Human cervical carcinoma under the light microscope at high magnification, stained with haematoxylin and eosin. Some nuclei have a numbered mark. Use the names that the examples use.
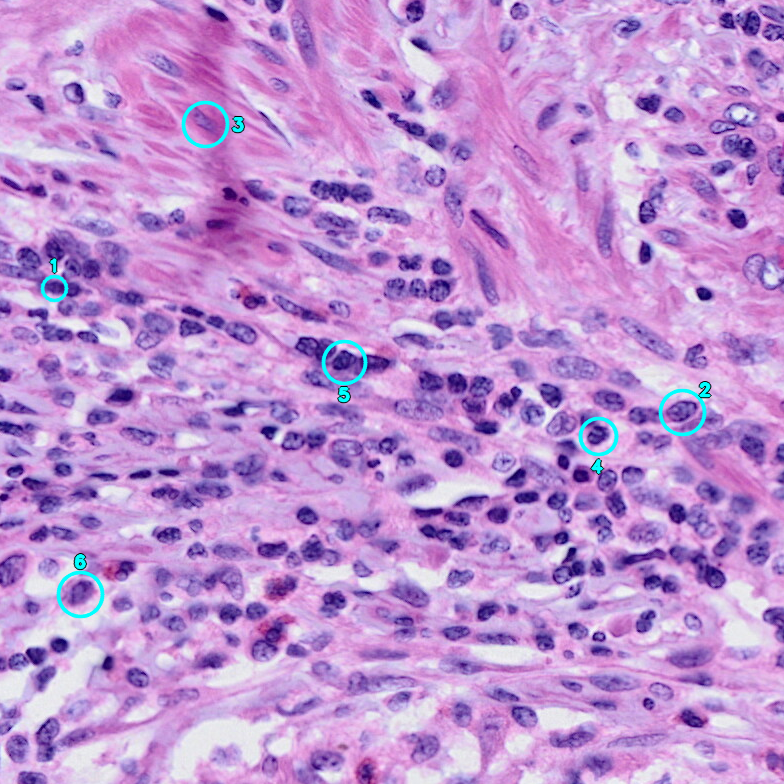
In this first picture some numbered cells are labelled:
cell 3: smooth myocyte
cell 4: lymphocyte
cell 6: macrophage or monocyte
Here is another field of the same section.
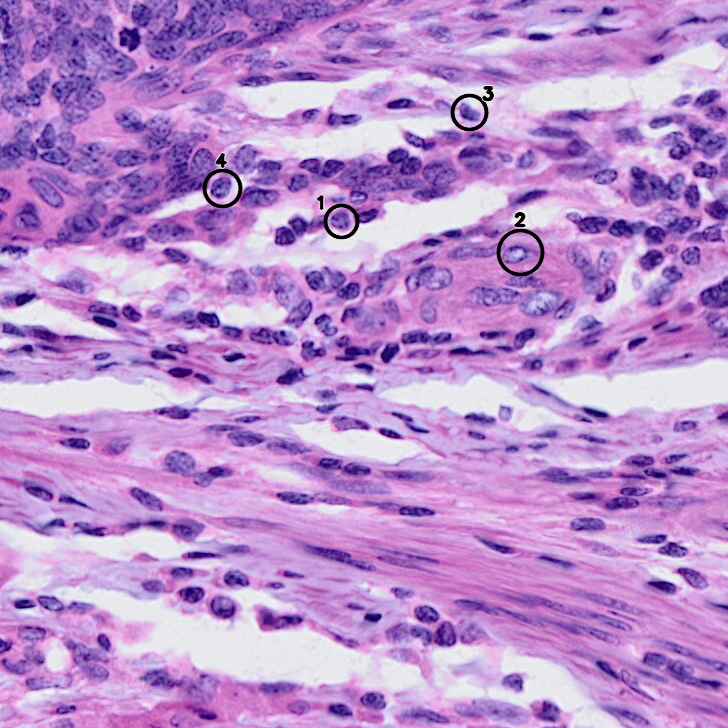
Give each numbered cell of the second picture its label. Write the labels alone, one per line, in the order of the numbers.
lymphocyte
smooth myocyte
lymphocyte
lymphocyte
